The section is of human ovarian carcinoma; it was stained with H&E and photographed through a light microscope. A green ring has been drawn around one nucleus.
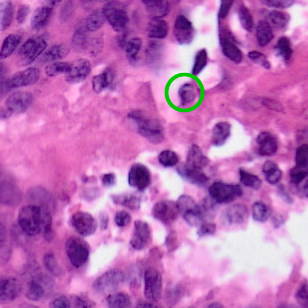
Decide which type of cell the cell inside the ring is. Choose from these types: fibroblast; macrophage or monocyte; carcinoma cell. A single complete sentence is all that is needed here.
In cellular terms, the cell inside the ring is a macrophage or monocyte.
